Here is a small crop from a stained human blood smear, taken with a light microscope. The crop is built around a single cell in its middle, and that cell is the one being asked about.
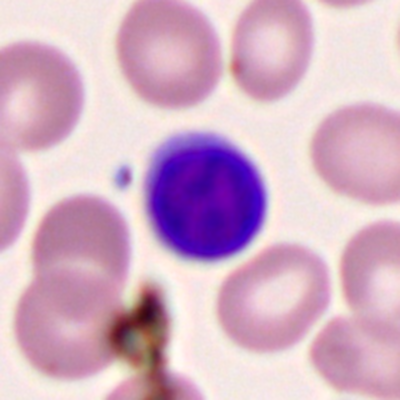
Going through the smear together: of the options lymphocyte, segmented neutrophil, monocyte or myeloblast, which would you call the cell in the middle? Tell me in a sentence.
Standing at the centre of this crop is a lymphocyte.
